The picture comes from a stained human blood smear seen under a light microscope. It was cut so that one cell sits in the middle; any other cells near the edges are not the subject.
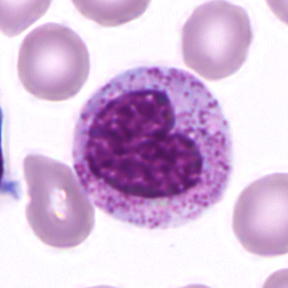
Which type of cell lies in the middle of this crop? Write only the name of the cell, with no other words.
band neutrophil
